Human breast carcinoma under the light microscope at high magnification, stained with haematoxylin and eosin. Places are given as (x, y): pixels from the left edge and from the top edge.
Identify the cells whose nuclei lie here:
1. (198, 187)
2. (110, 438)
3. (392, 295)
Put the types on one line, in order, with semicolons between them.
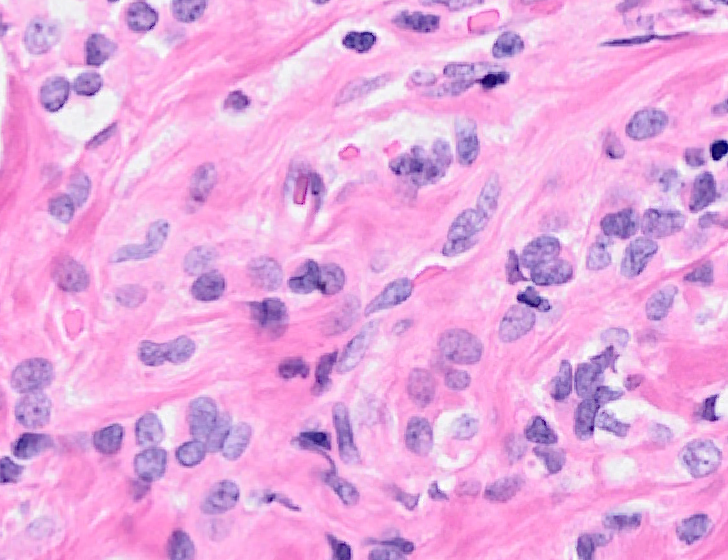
fibroblast; carcinoma cell; endothelial cell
